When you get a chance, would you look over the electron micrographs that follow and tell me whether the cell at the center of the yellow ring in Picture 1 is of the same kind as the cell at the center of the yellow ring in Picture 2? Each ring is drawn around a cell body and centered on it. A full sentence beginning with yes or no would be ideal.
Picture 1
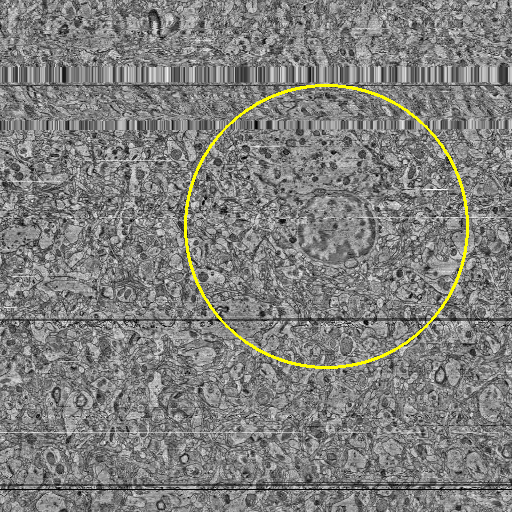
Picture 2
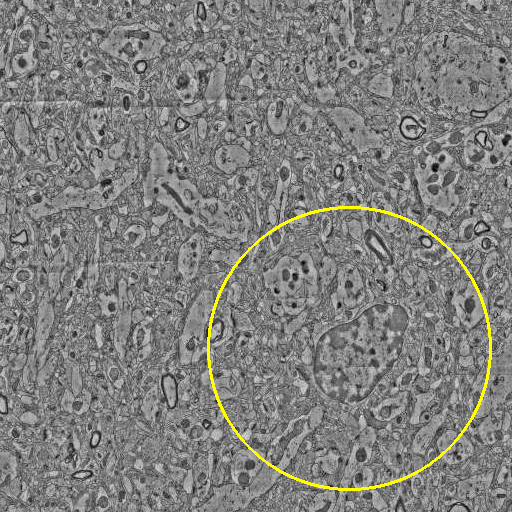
No, they are two kinds of cell.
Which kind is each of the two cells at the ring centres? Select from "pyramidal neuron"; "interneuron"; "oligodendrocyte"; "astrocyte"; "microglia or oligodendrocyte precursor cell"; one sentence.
The cell at the centre of the ring is an oligodendrocyte in the first picture and a microglial cell or oligodendrocyte precursor cell in the second.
